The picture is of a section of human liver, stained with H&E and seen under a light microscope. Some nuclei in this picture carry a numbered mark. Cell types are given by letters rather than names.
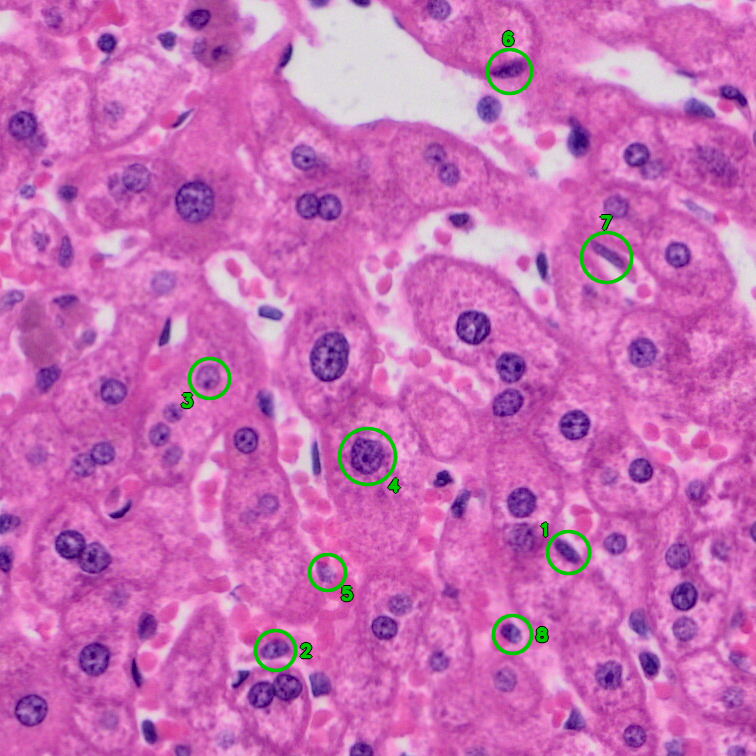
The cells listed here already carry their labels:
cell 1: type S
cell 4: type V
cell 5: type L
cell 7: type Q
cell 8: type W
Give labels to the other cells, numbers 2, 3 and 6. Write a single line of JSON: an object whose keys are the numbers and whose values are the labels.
{"2": "type Q", "3": "type V", "6": "type S"}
